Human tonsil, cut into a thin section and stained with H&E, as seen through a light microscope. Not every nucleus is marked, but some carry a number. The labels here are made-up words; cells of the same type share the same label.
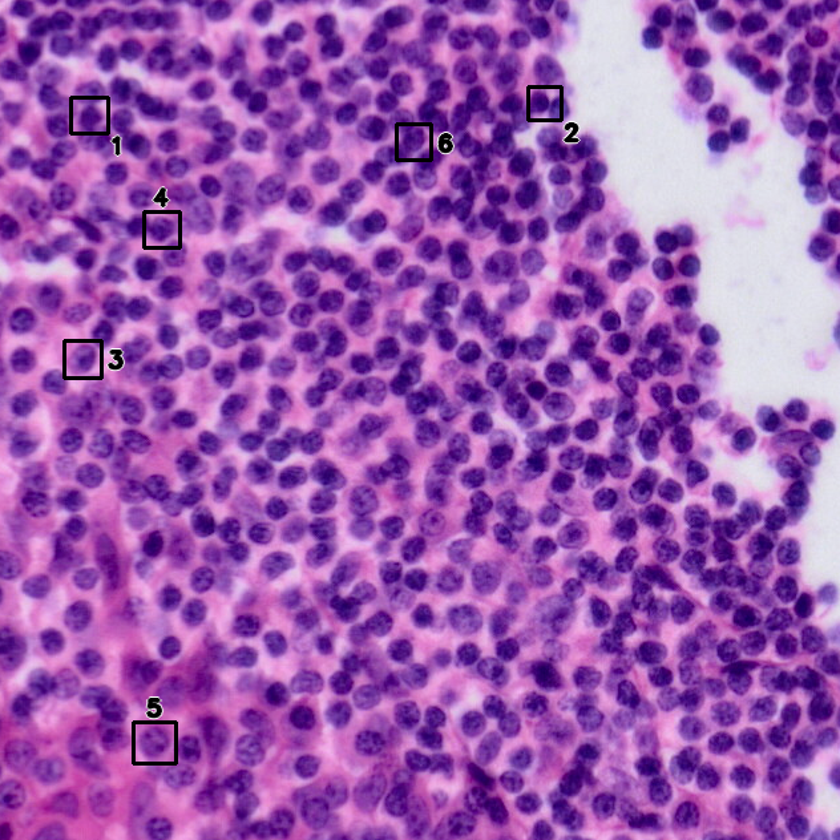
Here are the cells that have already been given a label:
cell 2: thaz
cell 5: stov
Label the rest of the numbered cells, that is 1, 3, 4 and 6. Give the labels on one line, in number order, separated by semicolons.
thaz; stov; thaz; thaz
